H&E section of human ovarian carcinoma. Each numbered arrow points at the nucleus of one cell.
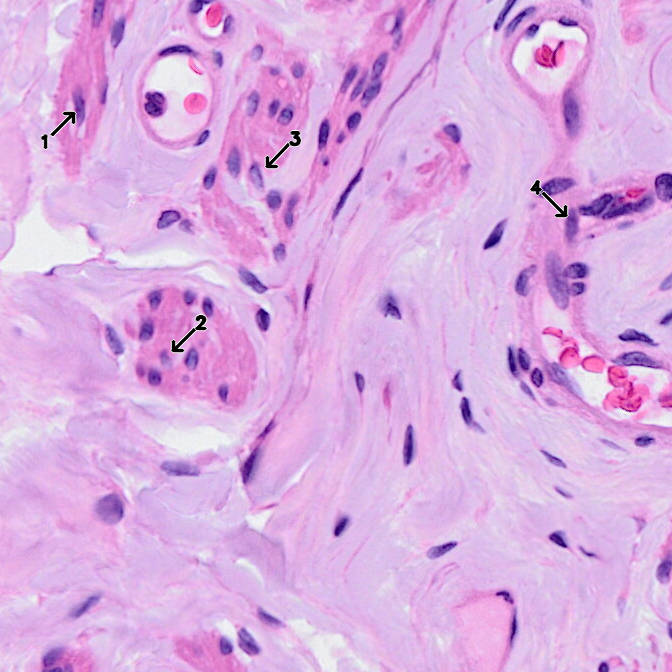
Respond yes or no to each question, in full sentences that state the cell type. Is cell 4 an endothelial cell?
Yes, the cell that the number 4 labels is an endothelial cell.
